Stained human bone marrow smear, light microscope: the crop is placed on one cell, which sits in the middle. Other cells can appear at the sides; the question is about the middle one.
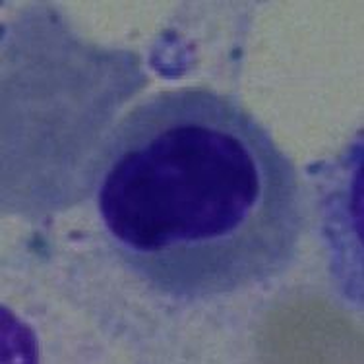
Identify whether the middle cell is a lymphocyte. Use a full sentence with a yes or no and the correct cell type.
No, the middle cell is not a lymphocyte, it being an erythroblast.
